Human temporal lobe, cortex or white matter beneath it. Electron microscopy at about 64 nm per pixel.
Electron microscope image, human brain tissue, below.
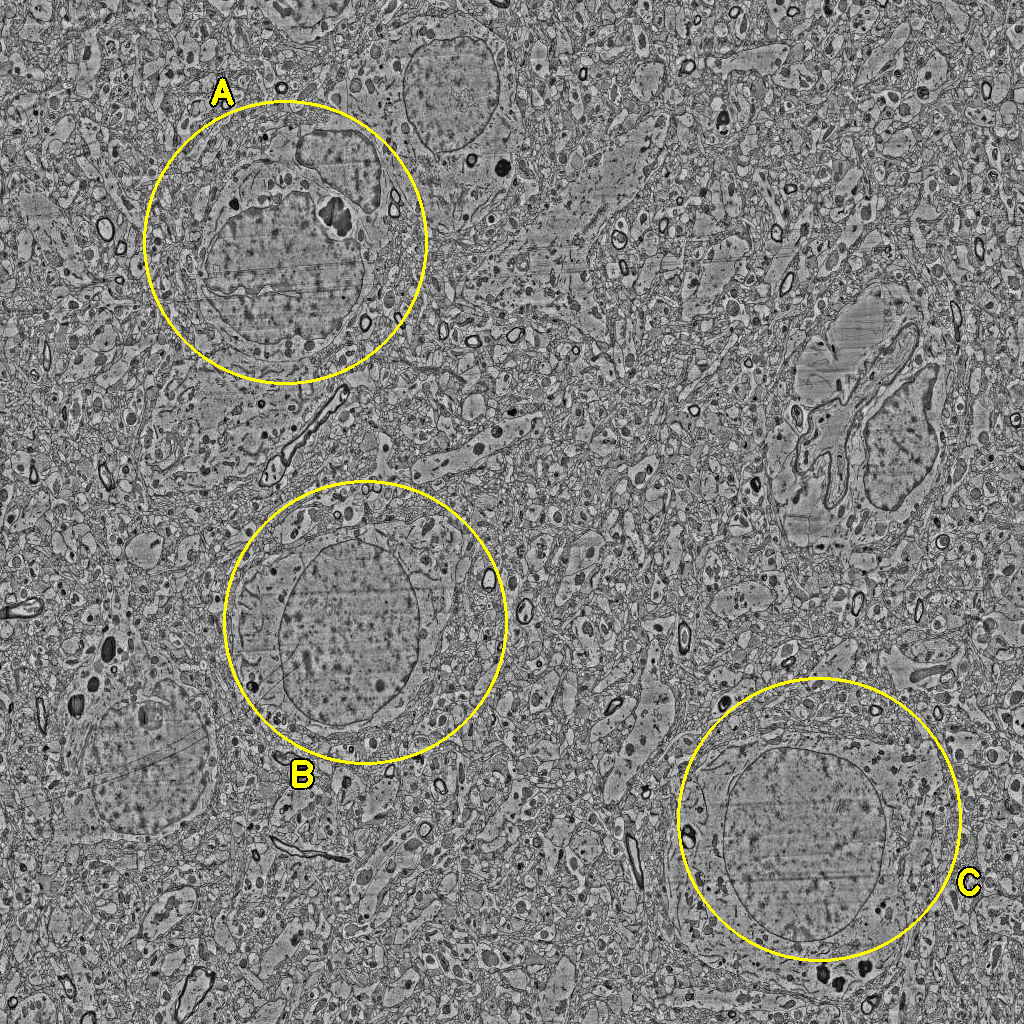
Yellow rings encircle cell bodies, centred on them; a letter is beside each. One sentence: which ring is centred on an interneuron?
It is ring A.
